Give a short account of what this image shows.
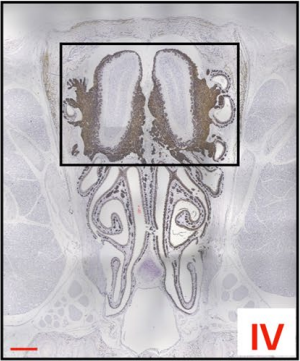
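At the top of this coronal section two large oval lobes lie side by side, each with a pale purple core wrapped in a thick dark brown rim with a knobbly outer edge. Beneath them the nasal cavity is divided by a midline septum and filled with thin scrolled turbinates lined by a narrow epithelium. The paired lobes are the olfactory bulbs, equal in size and shape.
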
